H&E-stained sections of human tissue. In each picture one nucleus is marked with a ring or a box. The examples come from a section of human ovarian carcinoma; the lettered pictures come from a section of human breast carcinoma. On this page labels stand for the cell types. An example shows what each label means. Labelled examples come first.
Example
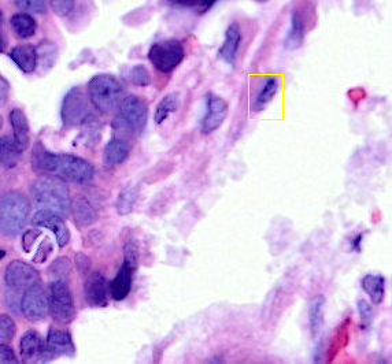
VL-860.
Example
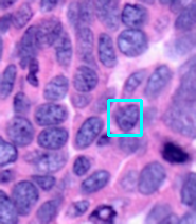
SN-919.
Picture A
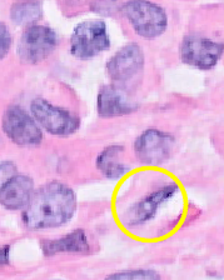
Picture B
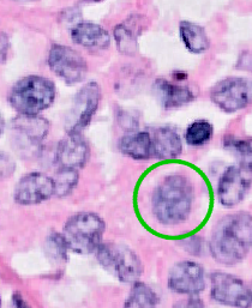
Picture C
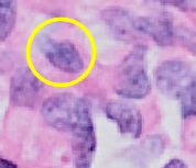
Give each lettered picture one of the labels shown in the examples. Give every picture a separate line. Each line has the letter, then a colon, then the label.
A: VL-860.
B: SN-919.
C: VL-860.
